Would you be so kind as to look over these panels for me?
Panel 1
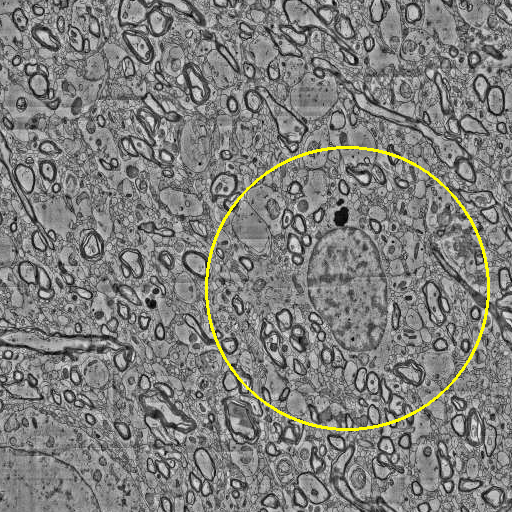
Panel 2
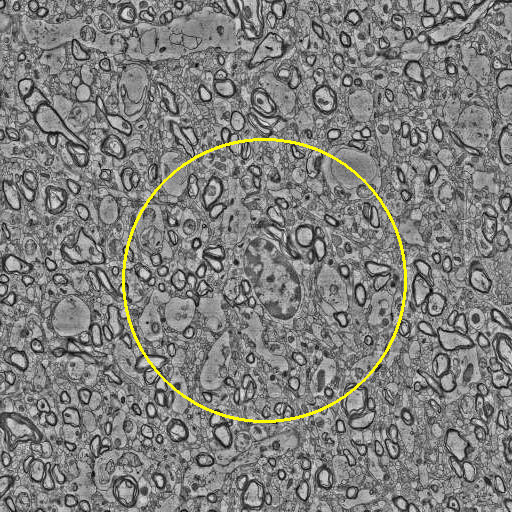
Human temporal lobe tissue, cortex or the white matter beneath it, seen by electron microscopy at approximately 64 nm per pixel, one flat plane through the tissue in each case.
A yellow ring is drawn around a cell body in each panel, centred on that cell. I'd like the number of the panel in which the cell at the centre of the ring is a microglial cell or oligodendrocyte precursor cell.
2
